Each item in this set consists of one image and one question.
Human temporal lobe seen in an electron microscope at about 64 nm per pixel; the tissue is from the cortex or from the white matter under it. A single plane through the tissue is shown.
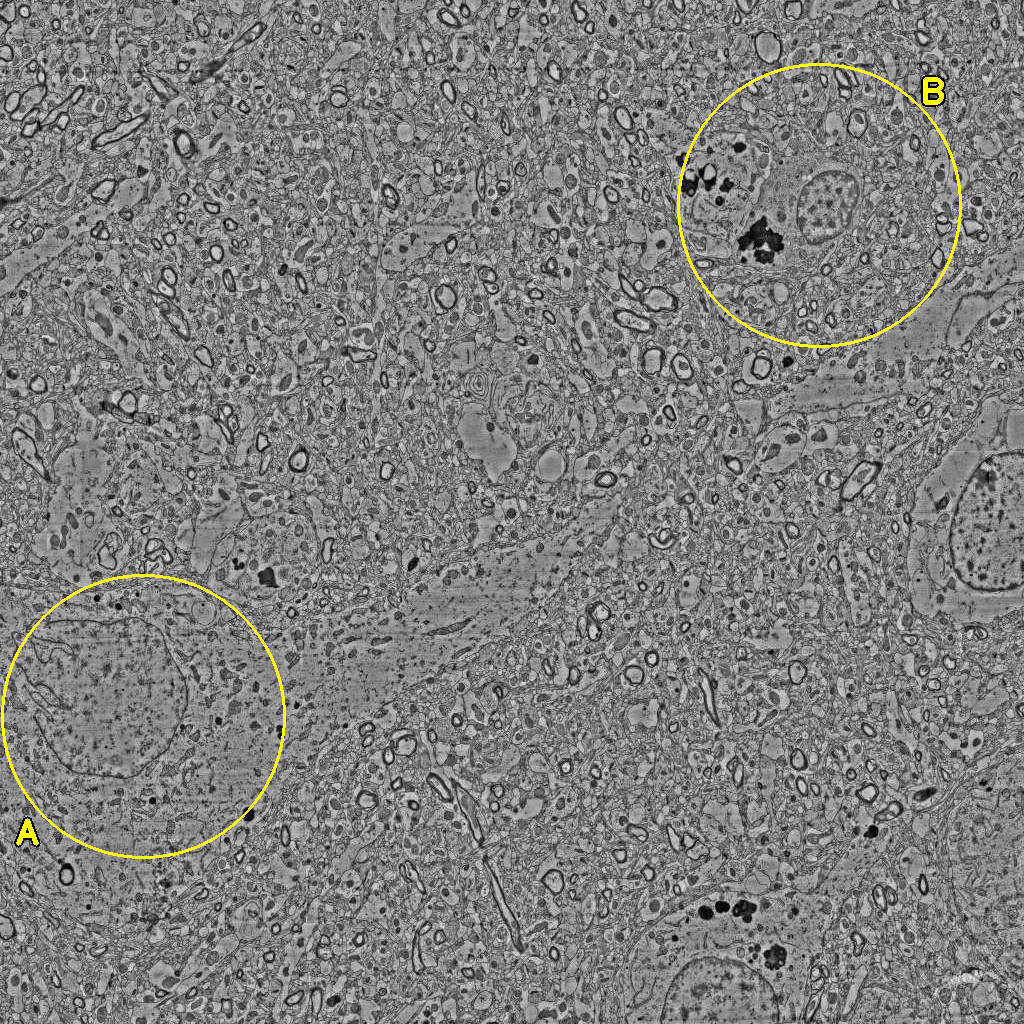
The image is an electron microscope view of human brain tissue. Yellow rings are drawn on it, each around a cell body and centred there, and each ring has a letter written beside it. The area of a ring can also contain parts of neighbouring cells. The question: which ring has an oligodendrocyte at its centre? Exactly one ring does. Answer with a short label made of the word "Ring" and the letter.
Ring B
